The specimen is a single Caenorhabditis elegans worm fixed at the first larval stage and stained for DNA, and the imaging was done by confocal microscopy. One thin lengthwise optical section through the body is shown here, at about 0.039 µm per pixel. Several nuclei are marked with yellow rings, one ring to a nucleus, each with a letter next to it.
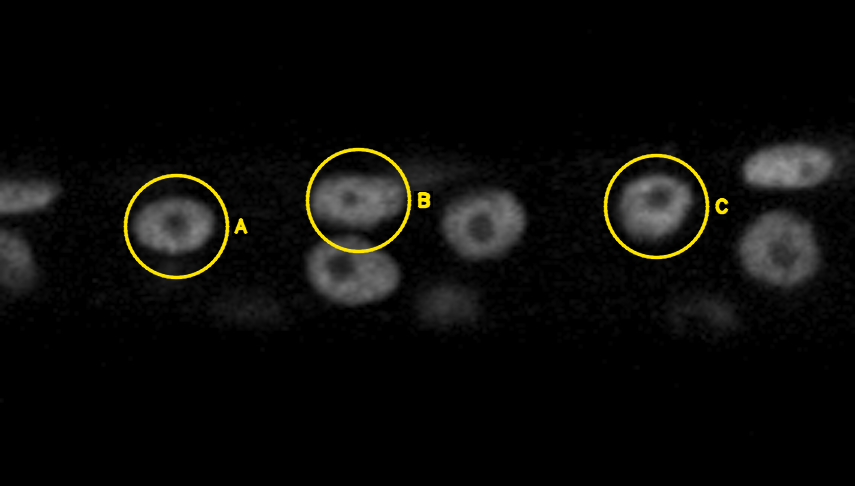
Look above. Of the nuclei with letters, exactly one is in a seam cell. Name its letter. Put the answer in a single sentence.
The one from a seam cell is A.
